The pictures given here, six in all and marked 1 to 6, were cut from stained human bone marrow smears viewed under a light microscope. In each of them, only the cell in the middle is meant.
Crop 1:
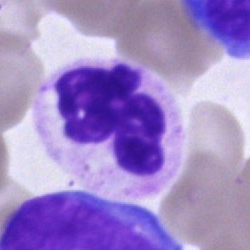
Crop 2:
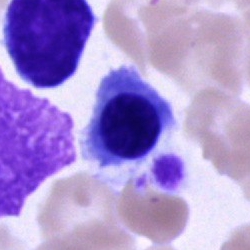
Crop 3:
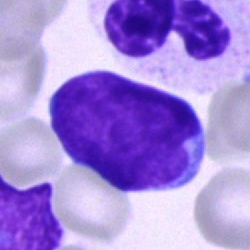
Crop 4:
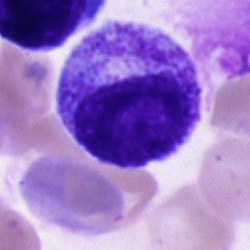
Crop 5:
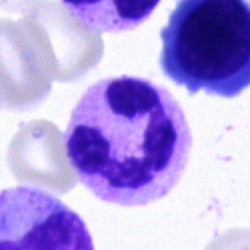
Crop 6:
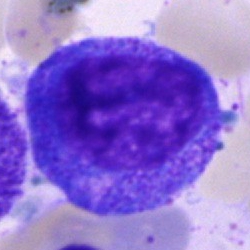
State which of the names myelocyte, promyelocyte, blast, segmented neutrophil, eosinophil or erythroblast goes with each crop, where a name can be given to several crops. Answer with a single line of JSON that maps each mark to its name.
{"1": "segmented neutrophil", "2": "erythroblast", "3": "blast", "4": "myelocyte", "5": "segmented neutrophil", "6": "promyelocyte"}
